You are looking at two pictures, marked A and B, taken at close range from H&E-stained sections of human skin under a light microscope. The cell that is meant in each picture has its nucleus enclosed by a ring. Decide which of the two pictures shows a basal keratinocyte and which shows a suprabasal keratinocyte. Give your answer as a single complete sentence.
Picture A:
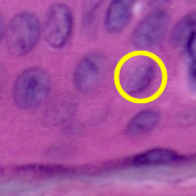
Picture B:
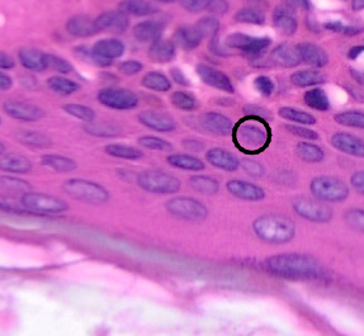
The cell in picture A is a suprabasal keratinocyte, and the one in picture B is a basal keratinocyte.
